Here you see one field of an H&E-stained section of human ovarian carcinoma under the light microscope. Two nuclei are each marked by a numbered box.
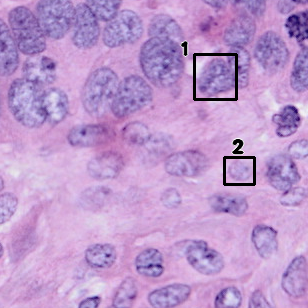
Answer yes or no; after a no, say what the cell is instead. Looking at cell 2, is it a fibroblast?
Yes.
